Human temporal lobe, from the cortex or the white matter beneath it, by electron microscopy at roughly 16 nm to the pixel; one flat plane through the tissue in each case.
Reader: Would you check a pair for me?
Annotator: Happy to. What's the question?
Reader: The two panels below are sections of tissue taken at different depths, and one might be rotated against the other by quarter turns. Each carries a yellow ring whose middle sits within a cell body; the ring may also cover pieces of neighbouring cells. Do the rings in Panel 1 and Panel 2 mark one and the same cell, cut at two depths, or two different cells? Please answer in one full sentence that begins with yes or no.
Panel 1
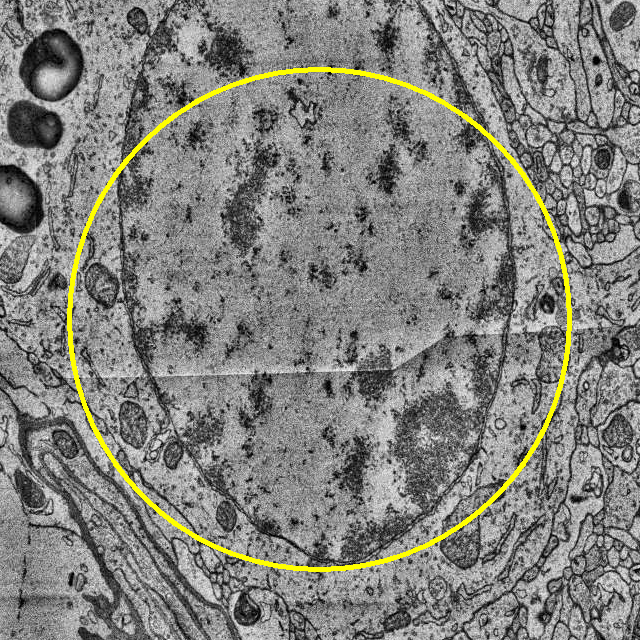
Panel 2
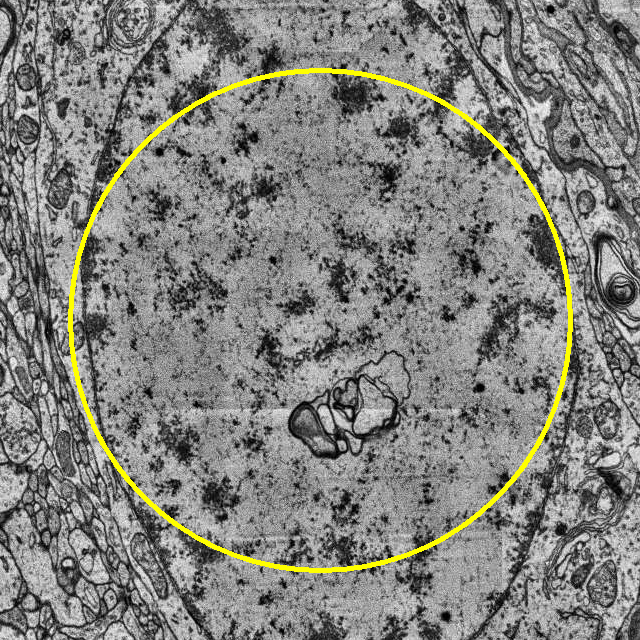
Yes, both yellow rings mark one and the same cell.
